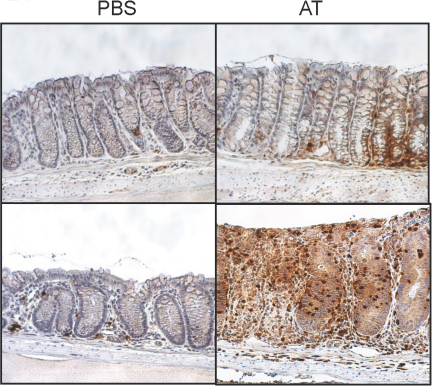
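Four sections of colonic mucosa show tubular crypts with blue-stained nuclei, arranged side by side above a thin submucosa. In some sections the crypts are regular and nearly free of brown staining. In others brown staining spreads through the lamina propria and the crypts, and in the most stained section the crypt architecture is crowded and disordered, with dense brown infiltrate throughout the mucosa.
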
